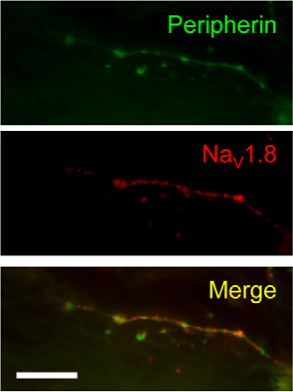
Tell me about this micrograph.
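In the red image the same fibre shows up as a row of bright red dots and short beads rather than a continuous line. In the overlay the red dots fall along the green fibre and appear yellow to orange where the two coincide. A few green dots lie apart from the fibre as separate spots.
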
